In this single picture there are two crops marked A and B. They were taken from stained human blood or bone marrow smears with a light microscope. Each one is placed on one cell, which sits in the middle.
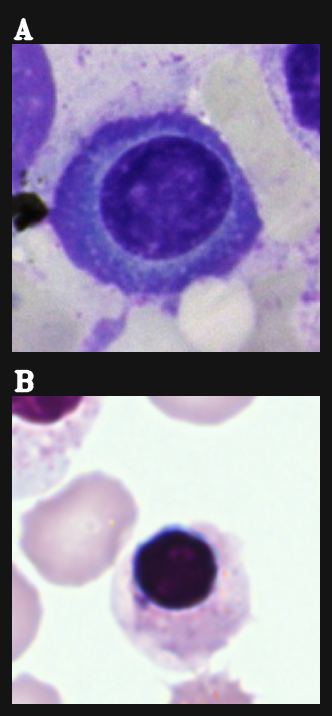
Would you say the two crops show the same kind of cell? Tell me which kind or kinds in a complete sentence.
No, crop A and crop B contain, respectively, a plasma cell and a normoblast.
